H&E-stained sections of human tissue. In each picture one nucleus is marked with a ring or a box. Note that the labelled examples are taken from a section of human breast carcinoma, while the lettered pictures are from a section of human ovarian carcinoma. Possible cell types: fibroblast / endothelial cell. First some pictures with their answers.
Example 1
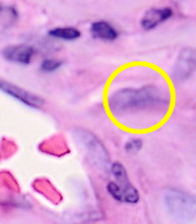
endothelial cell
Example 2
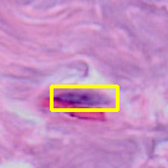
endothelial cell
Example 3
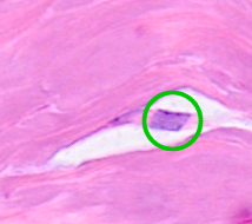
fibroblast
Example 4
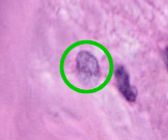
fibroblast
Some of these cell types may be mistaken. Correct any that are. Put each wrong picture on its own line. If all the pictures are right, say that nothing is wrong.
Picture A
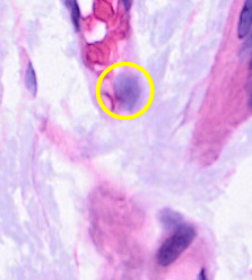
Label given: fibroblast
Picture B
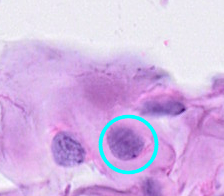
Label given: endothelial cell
A is labelled fibroblast; correct label: endothelial cell
B is labelled endothelial cell; correct label: fibroblast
